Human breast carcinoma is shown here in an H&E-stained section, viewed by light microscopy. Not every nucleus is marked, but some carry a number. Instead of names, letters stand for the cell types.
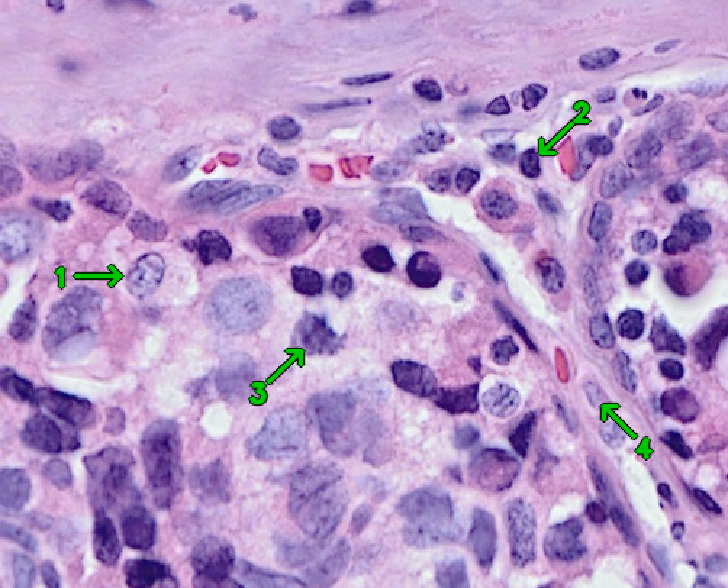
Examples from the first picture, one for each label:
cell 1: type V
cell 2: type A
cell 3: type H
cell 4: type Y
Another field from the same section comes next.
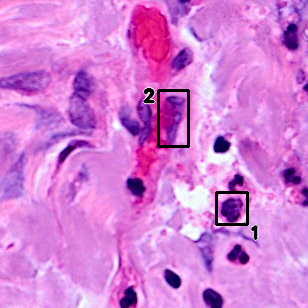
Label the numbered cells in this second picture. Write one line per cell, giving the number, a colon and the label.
1: type V
2: type Y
